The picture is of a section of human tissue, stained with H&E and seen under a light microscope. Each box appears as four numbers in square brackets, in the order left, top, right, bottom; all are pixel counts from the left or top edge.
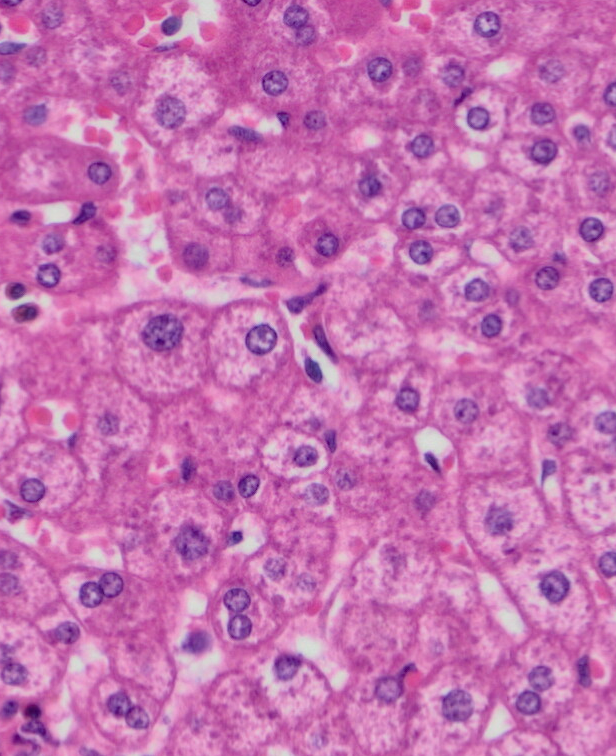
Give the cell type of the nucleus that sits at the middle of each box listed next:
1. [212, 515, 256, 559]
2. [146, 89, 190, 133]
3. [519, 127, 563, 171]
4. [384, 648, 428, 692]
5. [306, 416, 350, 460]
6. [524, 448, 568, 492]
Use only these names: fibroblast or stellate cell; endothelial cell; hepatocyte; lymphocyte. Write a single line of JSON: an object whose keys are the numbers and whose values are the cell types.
{"1": "lymphocyte", "2": "hepatocyte", "3": "hepatocyte", "4": "endothelial cell", "5": "fibroblast or stellate cell", "6": "endothelial cell"}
